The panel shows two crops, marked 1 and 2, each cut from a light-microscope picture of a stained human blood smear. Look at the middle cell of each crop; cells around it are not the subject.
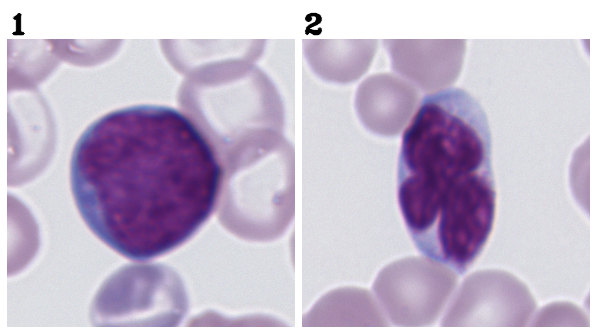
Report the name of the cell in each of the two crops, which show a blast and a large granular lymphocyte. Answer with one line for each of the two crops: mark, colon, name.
1: blast
2: large granular lymphocyte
